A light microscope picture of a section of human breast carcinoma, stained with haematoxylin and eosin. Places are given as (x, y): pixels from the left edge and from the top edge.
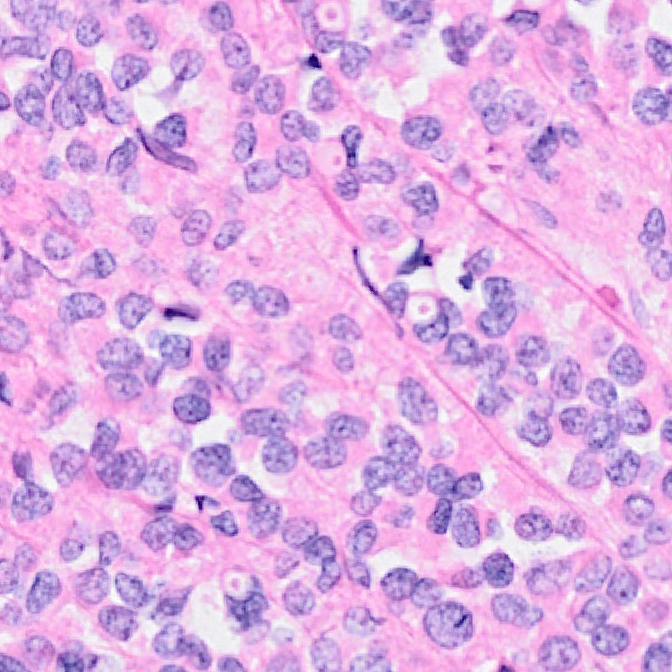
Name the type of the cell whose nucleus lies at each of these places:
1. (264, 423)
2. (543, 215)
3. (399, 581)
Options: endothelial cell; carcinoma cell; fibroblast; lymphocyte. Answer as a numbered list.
1. carcinoma cell
2. endothelial cell
3. carcinoma cell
